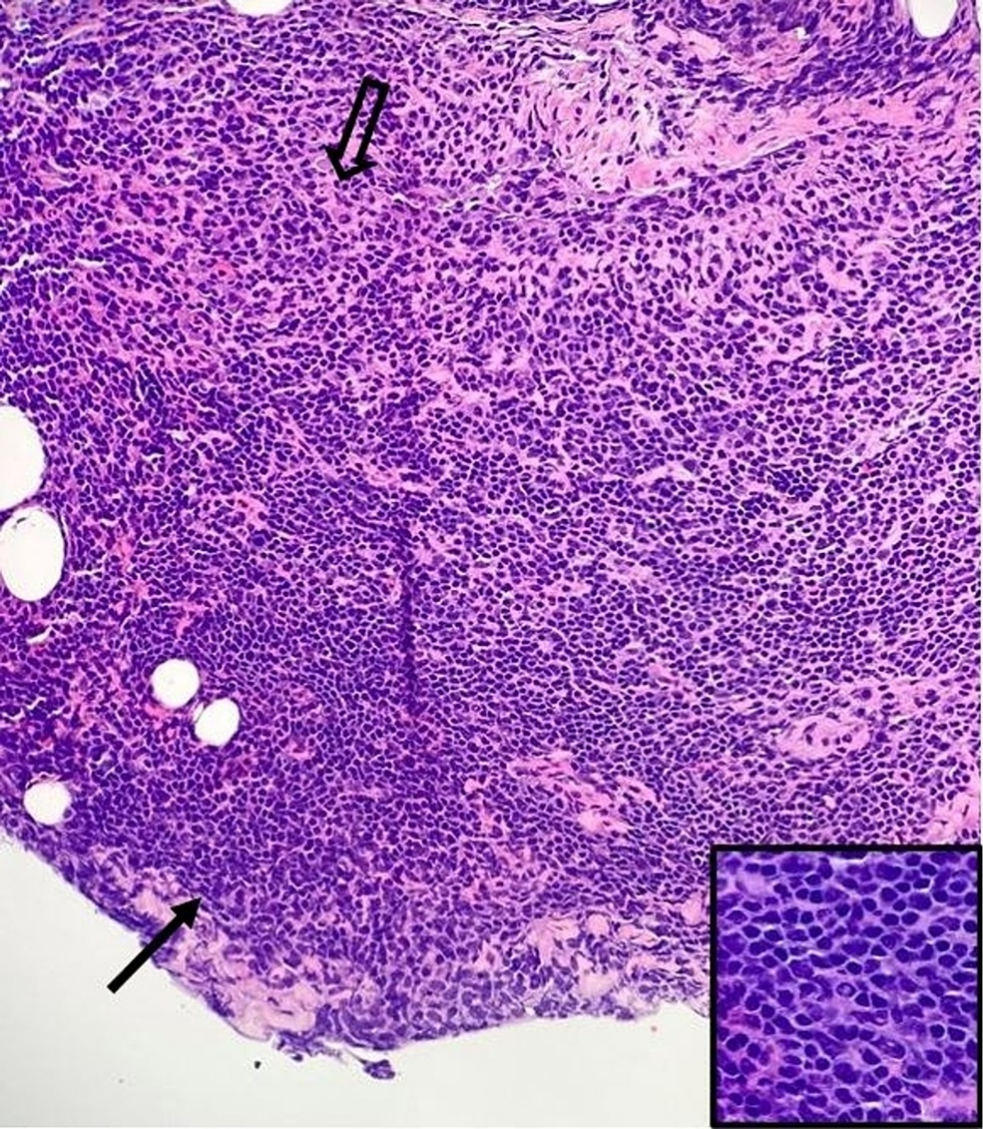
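This is a section filled by a diffuse sheet of atypical lymphocytes, with only a few round empty fat spaces at the left edge and thin pink strands of connective tissue and small vessels running between the cells. Most of the cells are small, with dark purple, somewhat irregular nuclei packed closely together, while in other areas larger cells lie a little further apart with more pale pink cytoplasm around their nuclei. The high-power inset shows the crowded, closely packed nuclei in more detail.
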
